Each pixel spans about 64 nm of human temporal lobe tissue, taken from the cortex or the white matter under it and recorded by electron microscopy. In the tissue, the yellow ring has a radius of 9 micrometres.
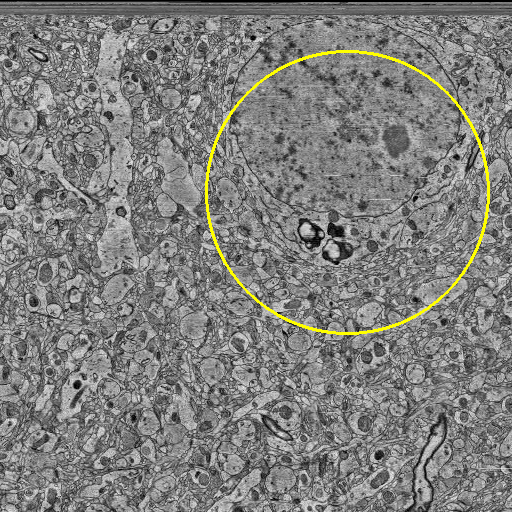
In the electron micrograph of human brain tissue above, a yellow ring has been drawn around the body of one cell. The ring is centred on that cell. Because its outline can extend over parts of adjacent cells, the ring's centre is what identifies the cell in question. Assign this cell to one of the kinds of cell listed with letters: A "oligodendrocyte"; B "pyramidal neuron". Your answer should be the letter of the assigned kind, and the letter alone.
B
